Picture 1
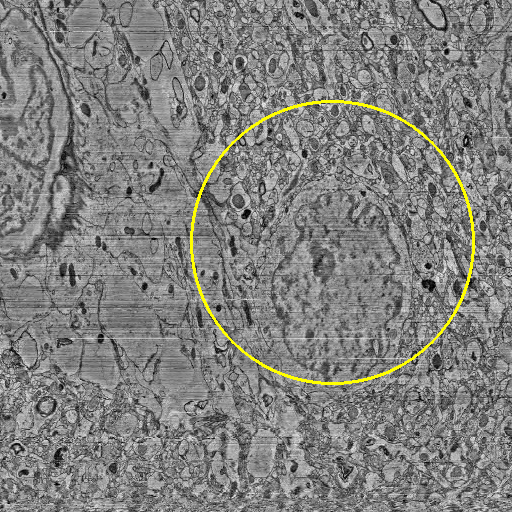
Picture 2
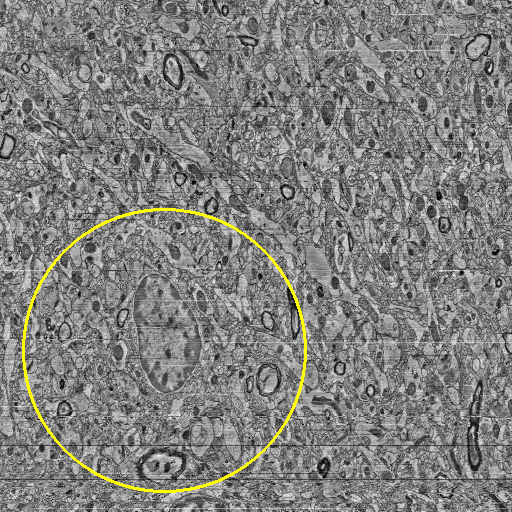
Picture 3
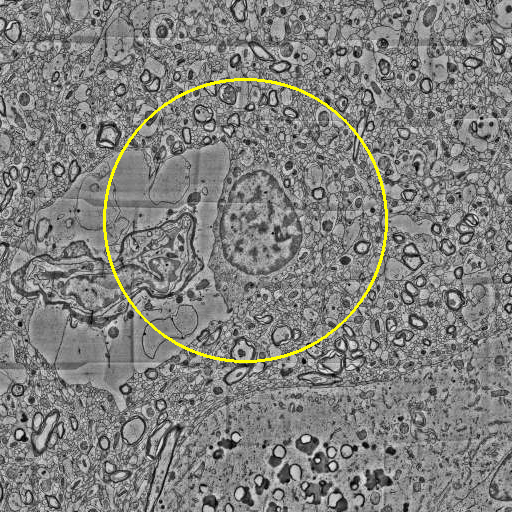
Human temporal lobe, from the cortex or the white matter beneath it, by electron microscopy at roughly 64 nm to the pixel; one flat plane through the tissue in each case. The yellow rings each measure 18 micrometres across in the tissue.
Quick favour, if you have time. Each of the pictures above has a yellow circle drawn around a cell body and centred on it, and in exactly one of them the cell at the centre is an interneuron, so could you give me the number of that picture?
1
